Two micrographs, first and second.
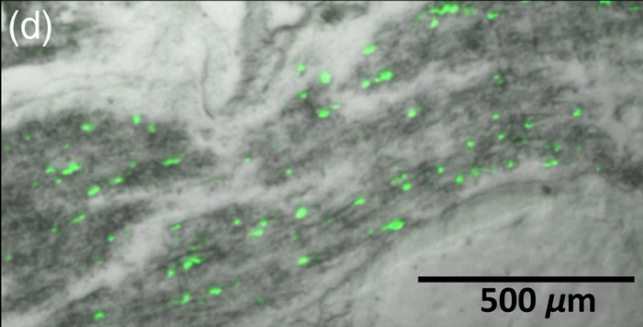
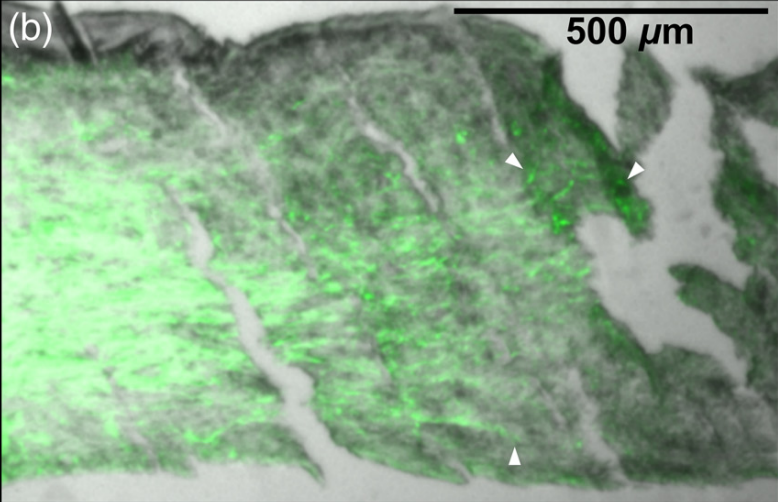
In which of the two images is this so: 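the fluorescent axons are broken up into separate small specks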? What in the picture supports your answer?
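The first image. First image: green fluorescence is confined to scattered discrete dots and small blobs. Second image: green fluorescence forms continuous fine streaks and a diffuse band across the tissue.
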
